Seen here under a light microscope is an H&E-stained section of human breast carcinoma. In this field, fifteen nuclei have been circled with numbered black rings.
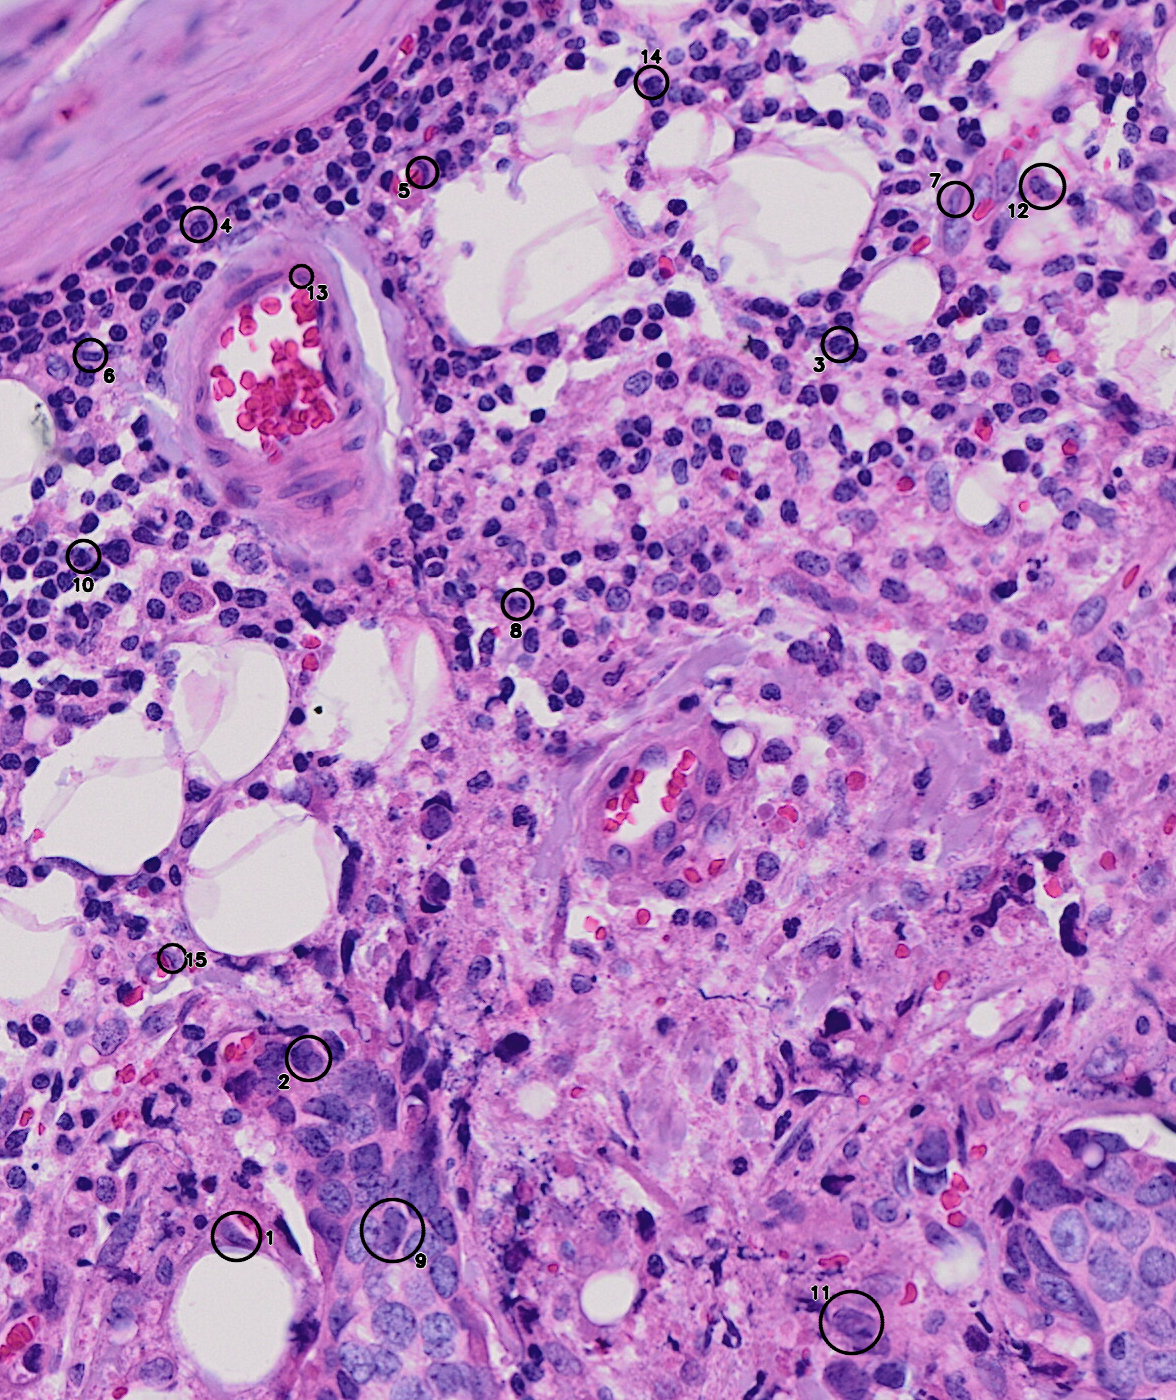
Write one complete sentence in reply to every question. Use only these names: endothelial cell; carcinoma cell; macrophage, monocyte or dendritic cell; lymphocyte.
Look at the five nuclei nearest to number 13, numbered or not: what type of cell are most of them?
Most of the five nuclei nearest to number 13 are those of endothelial cells.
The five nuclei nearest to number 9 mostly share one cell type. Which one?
The majority of the five nuclei closest to number 9 belong to carcinoma cells.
